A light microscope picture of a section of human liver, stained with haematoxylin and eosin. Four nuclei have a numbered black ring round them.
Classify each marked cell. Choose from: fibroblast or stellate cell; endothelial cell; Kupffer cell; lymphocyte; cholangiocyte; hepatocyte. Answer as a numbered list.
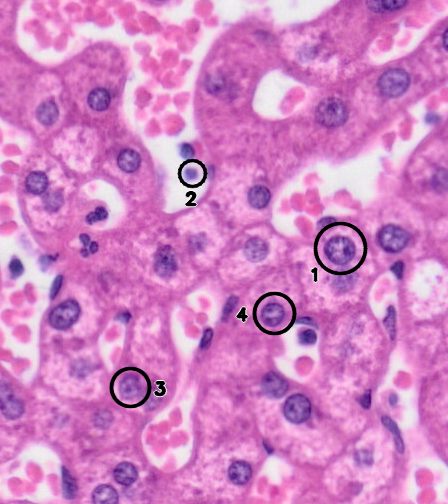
1. hepatocyte
2. lymphocyte
3. hepatocyte
4. hepatocyte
